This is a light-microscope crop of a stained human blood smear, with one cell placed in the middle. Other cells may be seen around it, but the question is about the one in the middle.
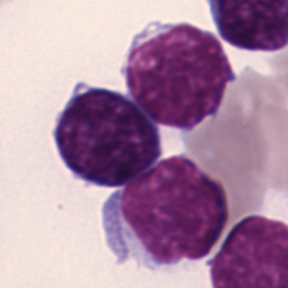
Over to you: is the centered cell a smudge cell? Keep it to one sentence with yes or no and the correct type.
No, the central cell in this crop is a myeloblast and not a smudge cell.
